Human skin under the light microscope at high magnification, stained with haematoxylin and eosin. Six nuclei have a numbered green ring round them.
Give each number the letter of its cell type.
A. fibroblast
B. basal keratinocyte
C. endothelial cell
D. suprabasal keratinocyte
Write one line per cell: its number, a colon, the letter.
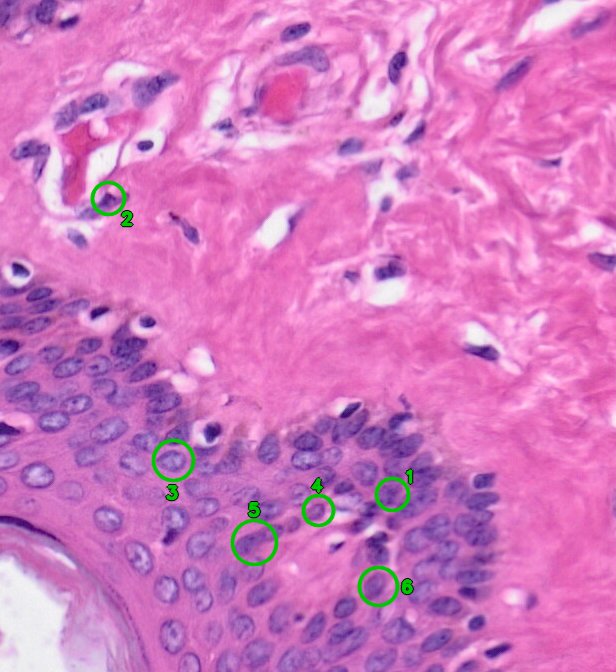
1: B
2: A
3: D
4: B
5: B
6: B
